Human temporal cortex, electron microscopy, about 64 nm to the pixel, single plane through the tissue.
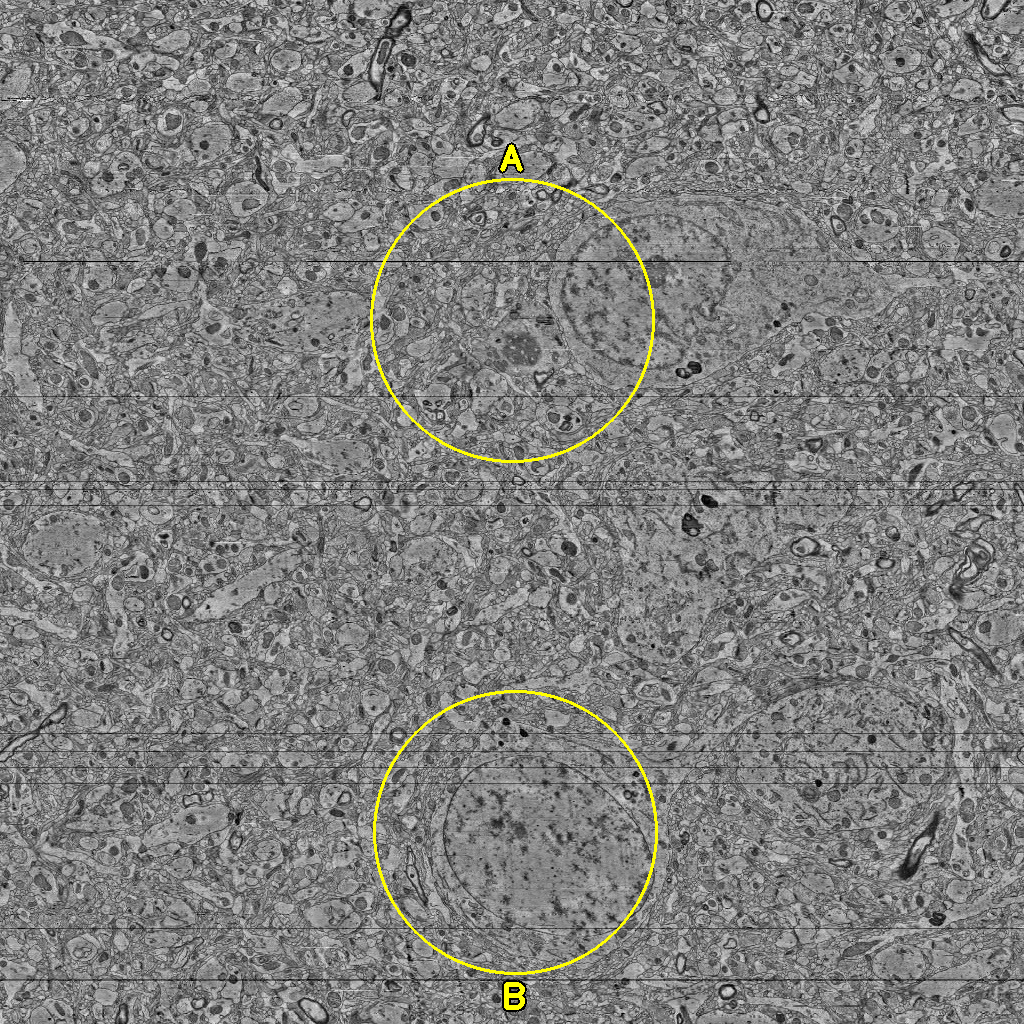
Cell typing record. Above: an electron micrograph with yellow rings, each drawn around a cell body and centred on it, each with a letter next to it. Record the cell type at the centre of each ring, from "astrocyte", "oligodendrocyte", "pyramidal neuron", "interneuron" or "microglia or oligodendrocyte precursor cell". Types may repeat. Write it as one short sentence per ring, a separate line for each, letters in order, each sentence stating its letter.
Ring A circles an oligodendrocyte.
Ring B circles a pyramidal neuron.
